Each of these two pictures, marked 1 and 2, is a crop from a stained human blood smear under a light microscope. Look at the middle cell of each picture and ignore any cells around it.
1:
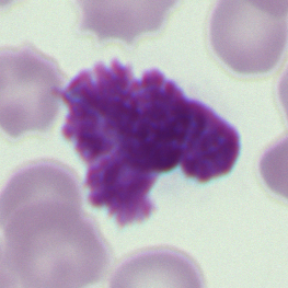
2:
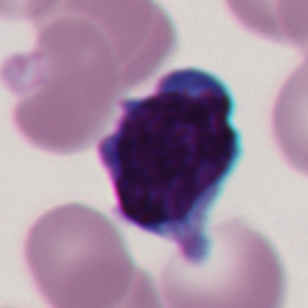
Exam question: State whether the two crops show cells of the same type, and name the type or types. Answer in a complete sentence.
No, for crop 1 the cell is a smudge cell, and for crop 2 it is a typical lymphocyte.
